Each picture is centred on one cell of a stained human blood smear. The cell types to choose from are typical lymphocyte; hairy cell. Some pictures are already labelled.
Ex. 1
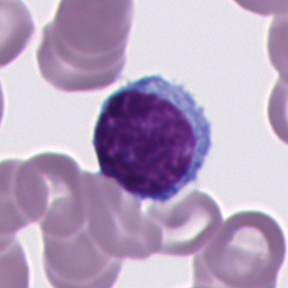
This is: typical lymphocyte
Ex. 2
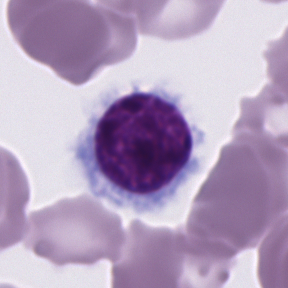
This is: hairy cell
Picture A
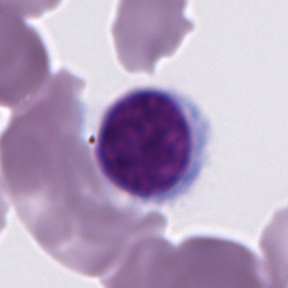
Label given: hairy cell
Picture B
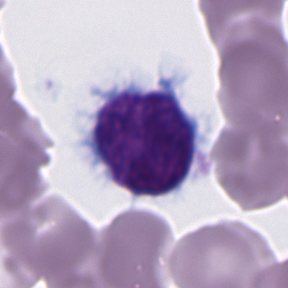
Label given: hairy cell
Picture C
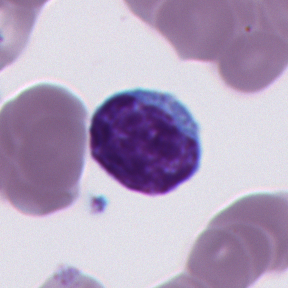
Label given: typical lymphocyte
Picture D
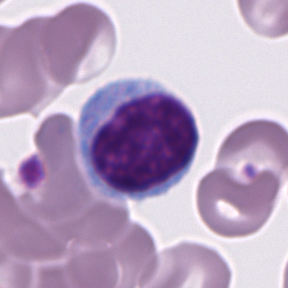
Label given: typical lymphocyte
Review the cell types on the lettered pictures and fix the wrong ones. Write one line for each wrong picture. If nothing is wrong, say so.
None of the labels needs changing.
